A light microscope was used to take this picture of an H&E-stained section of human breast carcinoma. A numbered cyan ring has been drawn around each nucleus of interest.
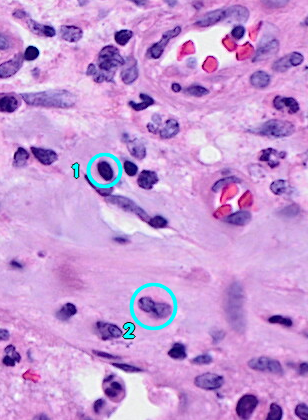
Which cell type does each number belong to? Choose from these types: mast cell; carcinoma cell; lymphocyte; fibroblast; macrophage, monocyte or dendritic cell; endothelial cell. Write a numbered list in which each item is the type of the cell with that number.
1. lymphocyte
2. mast cell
